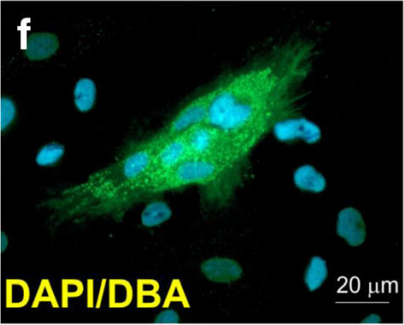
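Here a colony of several gonocytes sits on a monolayer of somatic cells. The gonocytes share one large green, granular area of cytoplasm in which several rounded blue nuclei lie close together, and fine green processes fray out at its edges. Around the colony the somatic cells show only their blue oval nuclei, spaced apart in a flat layer, with no green around them.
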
